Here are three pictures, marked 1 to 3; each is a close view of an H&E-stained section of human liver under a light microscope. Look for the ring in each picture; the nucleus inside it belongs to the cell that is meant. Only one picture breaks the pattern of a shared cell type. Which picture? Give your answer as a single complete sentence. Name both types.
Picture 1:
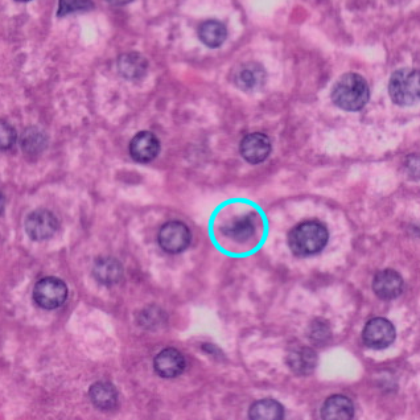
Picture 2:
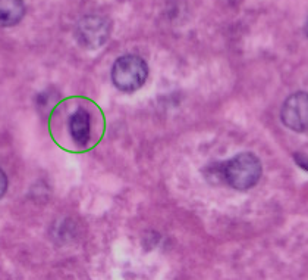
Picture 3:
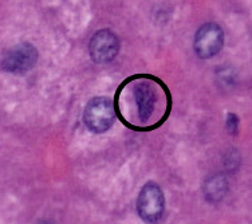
All pictures except 1 show “fibroblasts or stellate cells”; picture 1 shows an endothelial cell.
